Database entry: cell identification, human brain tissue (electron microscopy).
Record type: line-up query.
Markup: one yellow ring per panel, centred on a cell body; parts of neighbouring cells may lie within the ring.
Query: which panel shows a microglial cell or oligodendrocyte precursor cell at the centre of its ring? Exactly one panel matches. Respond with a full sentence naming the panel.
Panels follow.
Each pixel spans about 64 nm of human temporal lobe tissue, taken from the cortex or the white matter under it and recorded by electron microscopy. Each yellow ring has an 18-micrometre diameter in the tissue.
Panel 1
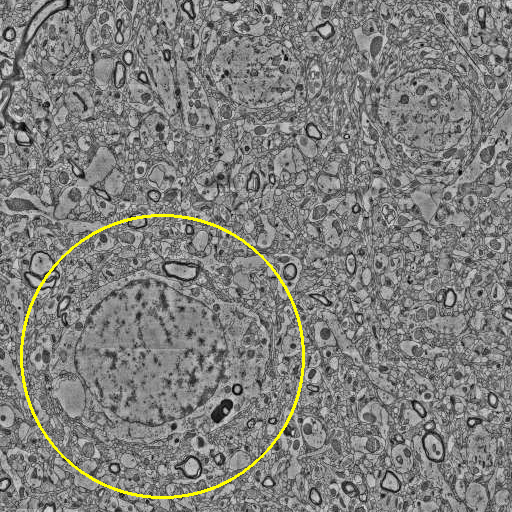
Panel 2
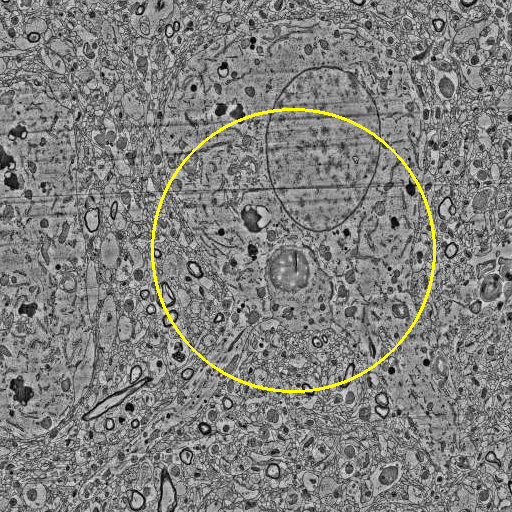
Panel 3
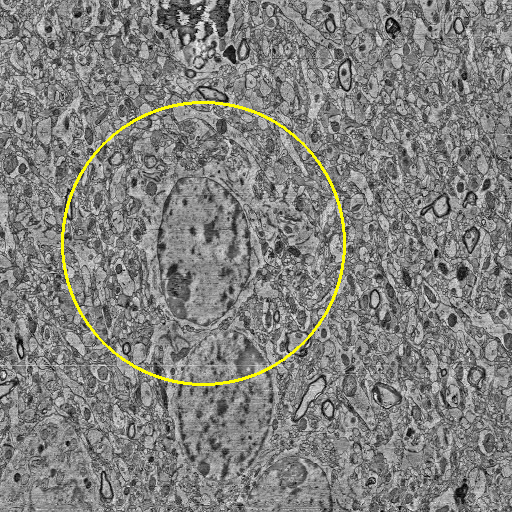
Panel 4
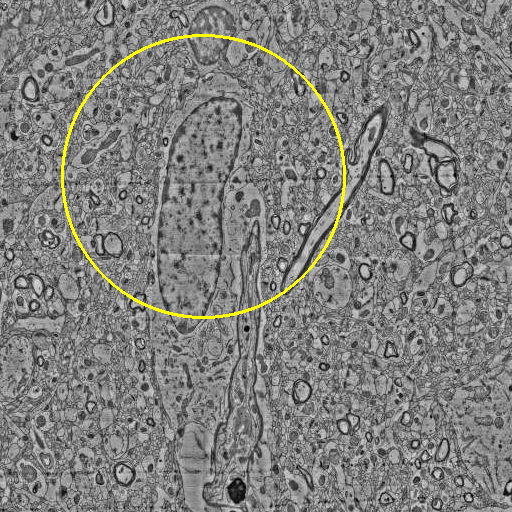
Panel 4 shows it at the centre of the ring.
